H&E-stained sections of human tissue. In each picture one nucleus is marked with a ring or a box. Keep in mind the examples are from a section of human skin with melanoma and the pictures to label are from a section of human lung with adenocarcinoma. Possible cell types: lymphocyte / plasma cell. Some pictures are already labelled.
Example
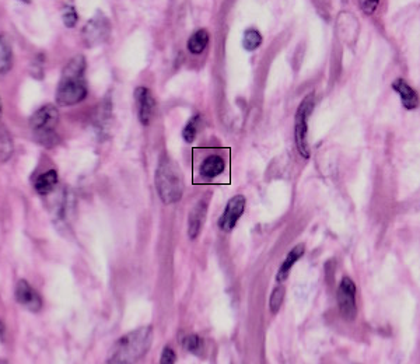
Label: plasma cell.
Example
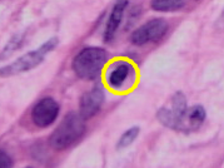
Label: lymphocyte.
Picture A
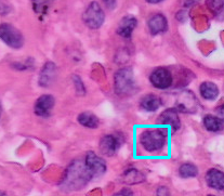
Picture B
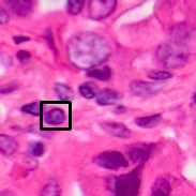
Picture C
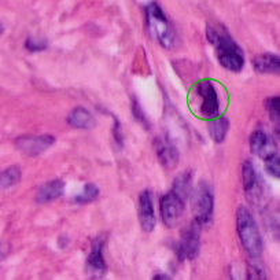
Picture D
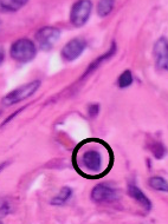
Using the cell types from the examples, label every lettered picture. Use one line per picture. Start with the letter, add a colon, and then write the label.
A: lymphocyte.
B: lymphocyte.
C: plasma cell.
D: plasma cell.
